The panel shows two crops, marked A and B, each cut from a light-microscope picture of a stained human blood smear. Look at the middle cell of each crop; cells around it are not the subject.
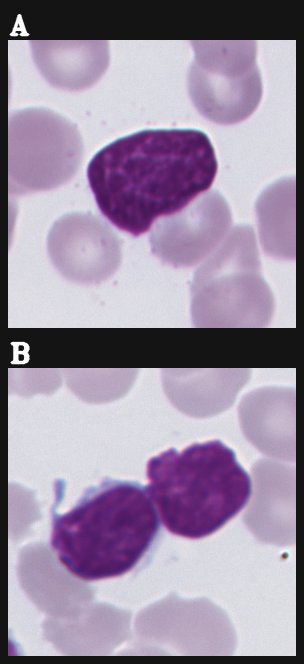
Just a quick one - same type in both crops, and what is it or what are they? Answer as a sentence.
No, a smudge cell and a myeloblast are found in crop A and crop B, respectively.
